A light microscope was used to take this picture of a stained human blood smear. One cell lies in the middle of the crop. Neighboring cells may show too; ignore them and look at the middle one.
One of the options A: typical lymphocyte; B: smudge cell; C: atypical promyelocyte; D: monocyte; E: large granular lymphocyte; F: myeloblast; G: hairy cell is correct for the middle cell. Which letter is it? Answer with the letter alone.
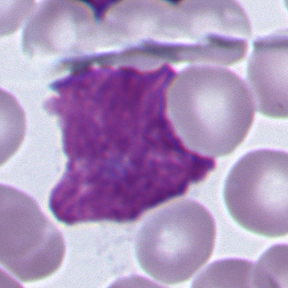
B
